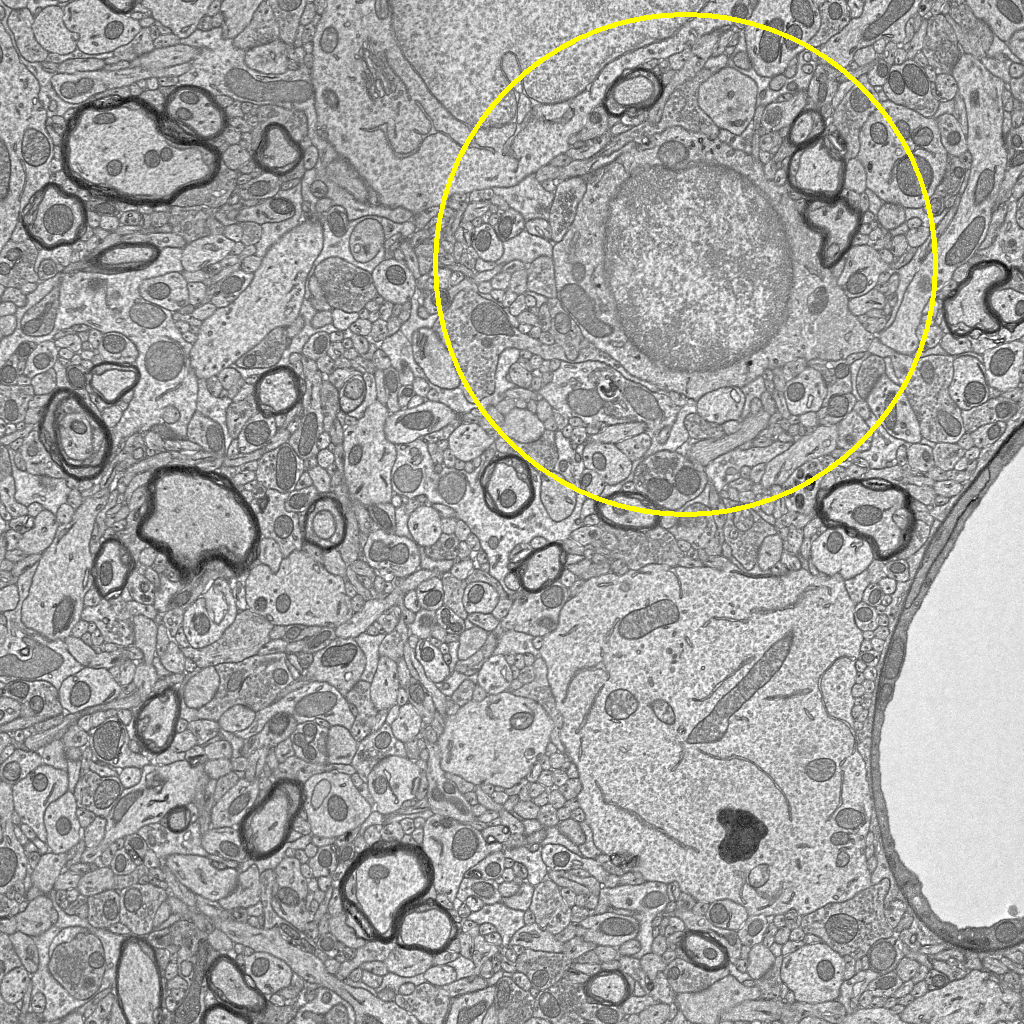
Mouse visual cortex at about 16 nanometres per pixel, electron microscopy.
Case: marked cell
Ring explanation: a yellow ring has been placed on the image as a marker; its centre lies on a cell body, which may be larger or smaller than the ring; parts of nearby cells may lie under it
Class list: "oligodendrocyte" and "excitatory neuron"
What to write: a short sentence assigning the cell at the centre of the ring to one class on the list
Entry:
The cell at the ring's centre is an oligodendrocyte.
